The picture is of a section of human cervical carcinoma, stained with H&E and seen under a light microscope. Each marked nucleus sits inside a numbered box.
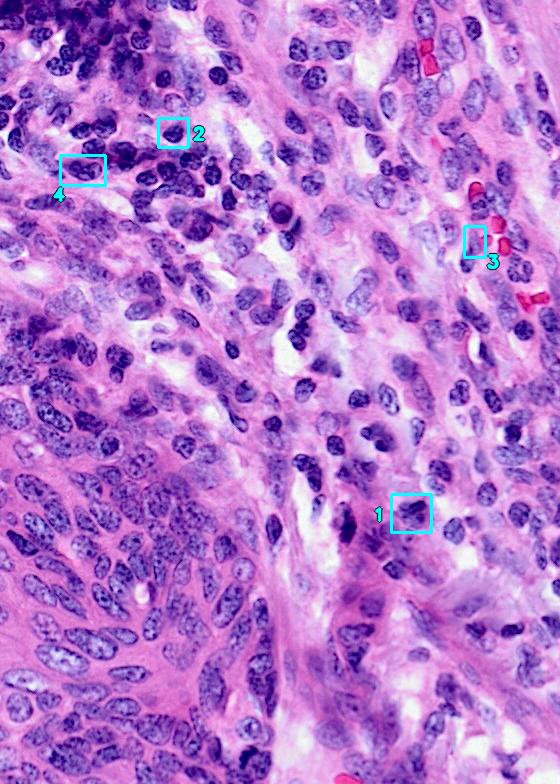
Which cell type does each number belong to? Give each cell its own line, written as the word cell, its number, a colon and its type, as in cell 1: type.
cell 1: lymphocyte
cell 2: lymphocyte
cell 3: endothelial cell
cell 4: lymphocyte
